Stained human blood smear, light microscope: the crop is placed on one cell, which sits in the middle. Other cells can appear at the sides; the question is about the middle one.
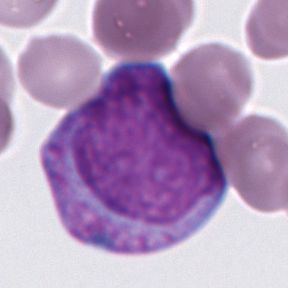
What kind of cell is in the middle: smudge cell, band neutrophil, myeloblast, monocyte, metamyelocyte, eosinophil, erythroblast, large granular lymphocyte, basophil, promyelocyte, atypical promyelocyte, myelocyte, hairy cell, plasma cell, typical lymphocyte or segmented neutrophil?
atypical promyelocyte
